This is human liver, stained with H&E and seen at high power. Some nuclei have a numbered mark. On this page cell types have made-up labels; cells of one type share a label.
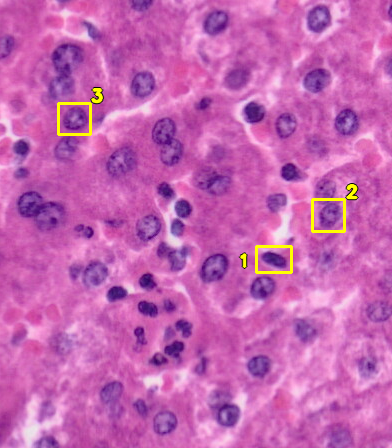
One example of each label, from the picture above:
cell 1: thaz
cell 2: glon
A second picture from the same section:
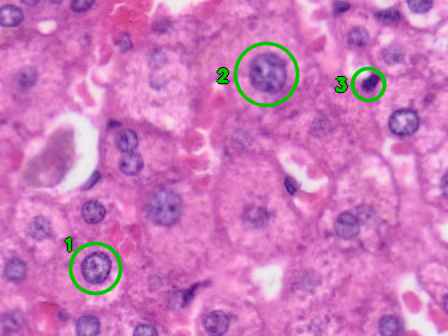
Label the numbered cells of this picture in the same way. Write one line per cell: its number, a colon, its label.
1: glon
2: glon
3: thaz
